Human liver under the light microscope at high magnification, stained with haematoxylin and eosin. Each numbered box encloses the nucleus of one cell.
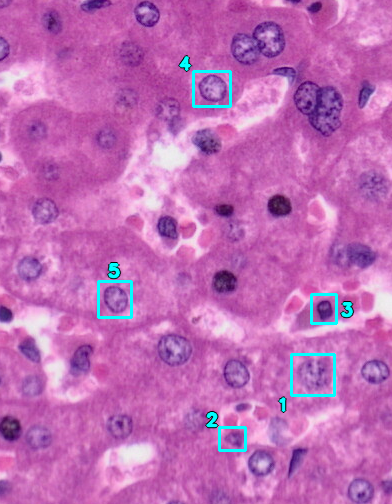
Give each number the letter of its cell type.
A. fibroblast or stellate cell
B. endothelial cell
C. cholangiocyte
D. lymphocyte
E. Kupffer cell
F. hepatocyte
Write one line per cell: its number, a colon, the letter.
1: F
2: E
3: E
4: F
5: F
